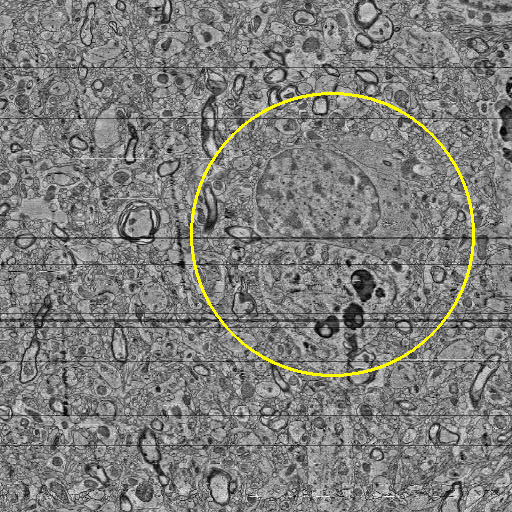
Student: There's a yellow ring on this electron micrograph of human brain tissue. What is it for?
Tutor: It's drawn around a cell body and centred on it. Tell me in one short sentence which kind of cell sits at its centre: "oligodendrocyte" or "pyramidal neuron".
The cell at the centre of the ring is an oligodendrocyte.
